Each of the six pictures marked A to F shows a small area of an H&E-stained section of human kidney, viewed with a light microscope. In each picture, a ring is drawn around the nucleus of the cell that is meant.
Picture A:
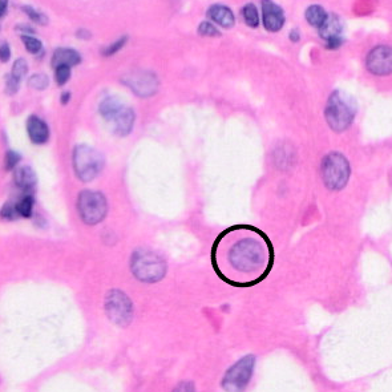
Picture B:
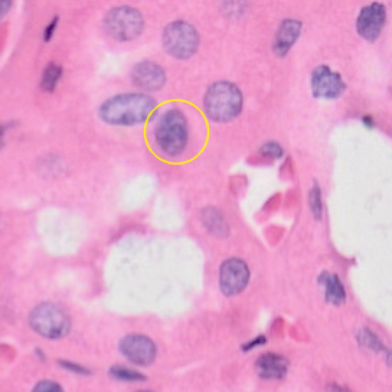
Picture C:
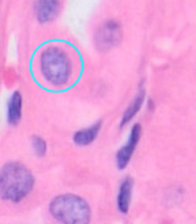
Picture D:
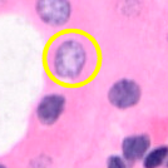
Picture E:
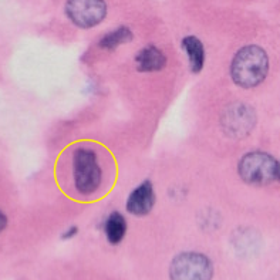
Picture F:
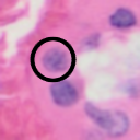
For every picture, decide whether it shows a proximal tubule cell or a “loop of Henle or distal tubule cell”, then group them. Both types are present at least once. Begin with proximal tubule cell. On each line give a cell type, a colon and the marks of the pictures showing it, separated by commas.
proximal tubule cell: A, B, E
loop of Henle or distal tubule cell: C, D, F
